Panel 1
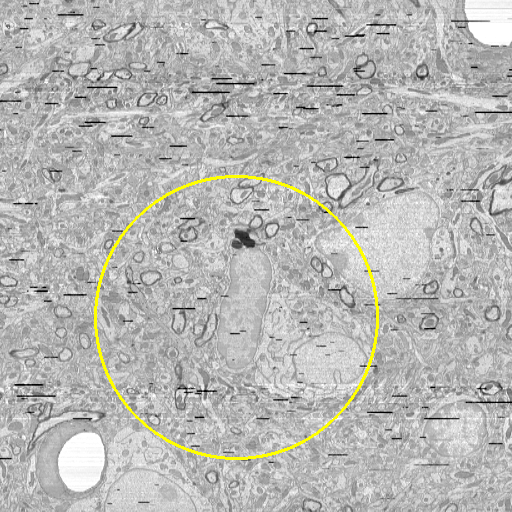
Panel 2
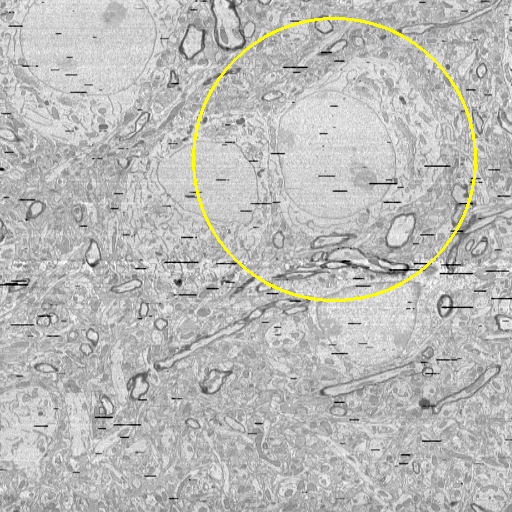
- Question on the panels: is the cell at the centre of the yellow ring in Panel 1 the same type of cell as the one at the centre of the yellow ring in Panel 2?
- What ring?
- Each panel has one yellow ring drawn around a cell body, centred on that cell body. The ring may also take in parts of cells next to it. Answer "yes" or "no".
no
